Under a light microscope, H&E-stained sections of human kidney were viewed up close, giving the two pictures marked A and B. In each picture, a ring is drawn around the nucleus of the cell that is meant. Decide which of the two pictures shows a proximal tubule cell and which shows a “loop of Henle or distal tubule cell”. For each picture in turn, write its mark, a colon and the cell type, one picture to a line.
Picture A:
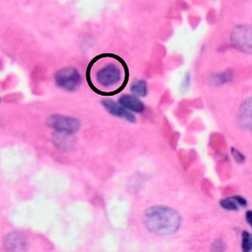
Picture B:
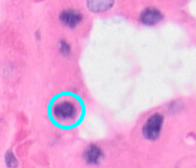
A: proximal tubule cell
B: loop of Henle or distal tubule cell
